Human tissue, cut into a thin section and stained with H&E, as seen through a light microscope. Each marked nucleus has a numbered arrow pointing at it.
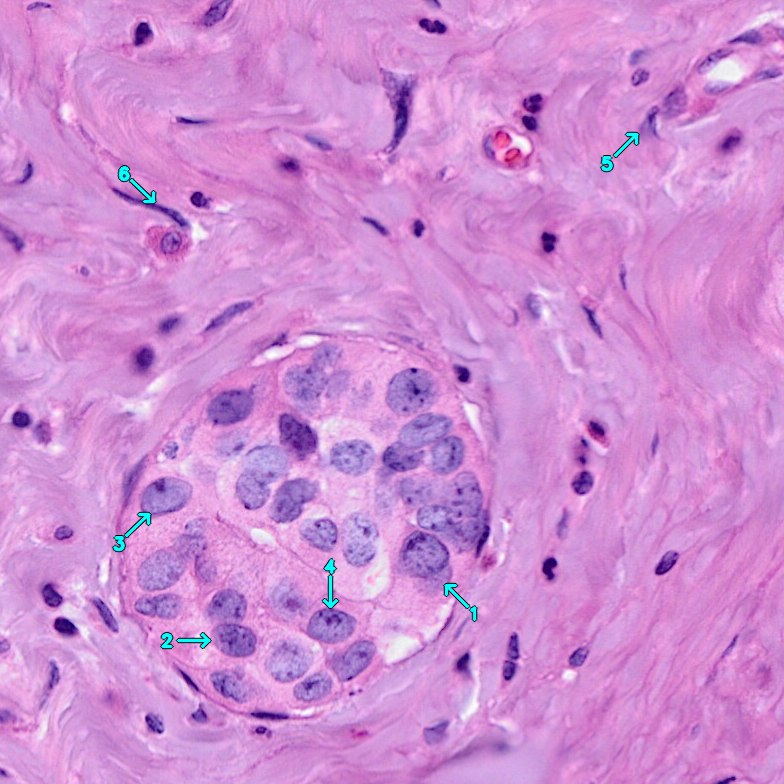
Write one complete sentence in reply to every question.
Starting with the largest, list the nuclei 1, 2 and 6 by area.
Going from the biggest nucleus down to the smallest gives 1, 2, 6.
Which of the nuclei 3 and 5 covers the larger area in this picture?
Nucleus 3 is the larger one, covering about 3 times the area of nucleus 5.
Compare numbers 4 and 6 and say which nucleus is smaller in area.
The smaller nucleus is 6, and 4 covers roughly 4 times its area.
